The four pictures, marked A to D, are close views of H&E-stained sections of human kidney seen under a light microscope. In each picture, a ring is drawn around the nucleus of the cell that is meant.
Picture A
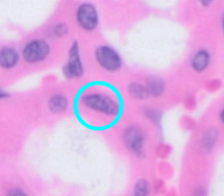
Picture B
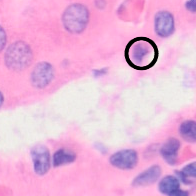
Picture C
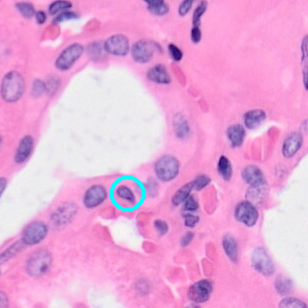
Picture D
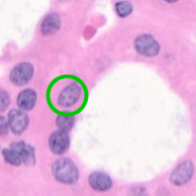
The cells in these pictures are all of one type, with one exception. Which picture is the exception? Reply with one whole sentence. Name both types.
The different one is picture B; it shows a “loop of Henle or distal tubule cell”, whereas all the others show collecting duct cells.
